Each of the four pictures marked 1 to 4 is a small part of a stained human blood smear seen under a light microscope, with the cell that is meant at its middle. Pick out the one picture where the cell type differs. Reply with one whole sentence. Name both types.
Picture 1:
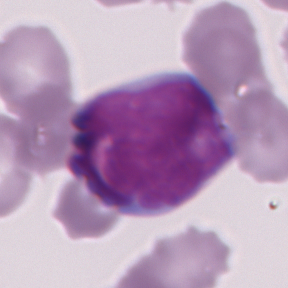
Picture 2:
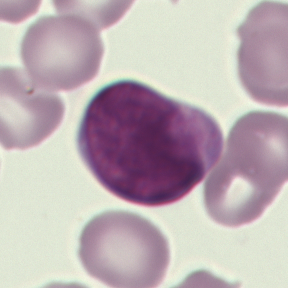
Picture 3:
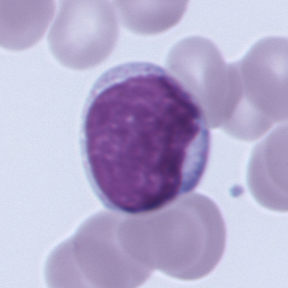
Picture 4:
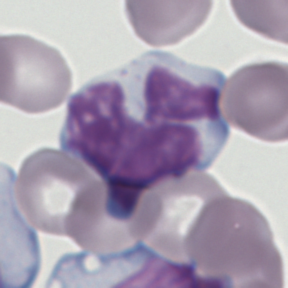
The different one is picture 3; it shows a large granular lymphocyte, whereas all the others show myeloblasts.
